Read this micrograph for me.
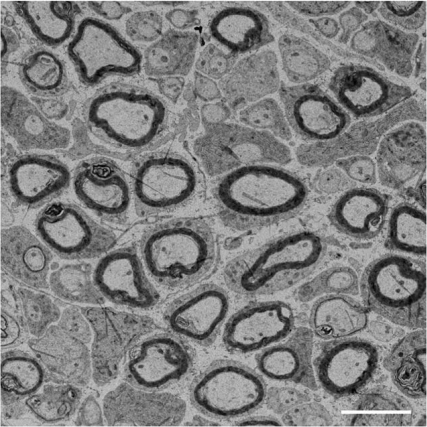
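Cross-section of a peripheral nerve showing many axons wrapped by Schwann cells. Numerous large axons are surrounded by thick, dark, compact myelin rings of fairly even thickness, giving round to oval profiles with pale axoplasm inside. Between them lie groups of smaller unmyelinated or not yet myelinated axons, seen as pale round profiles embedded in grey Schwann cell cytoplasm.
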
